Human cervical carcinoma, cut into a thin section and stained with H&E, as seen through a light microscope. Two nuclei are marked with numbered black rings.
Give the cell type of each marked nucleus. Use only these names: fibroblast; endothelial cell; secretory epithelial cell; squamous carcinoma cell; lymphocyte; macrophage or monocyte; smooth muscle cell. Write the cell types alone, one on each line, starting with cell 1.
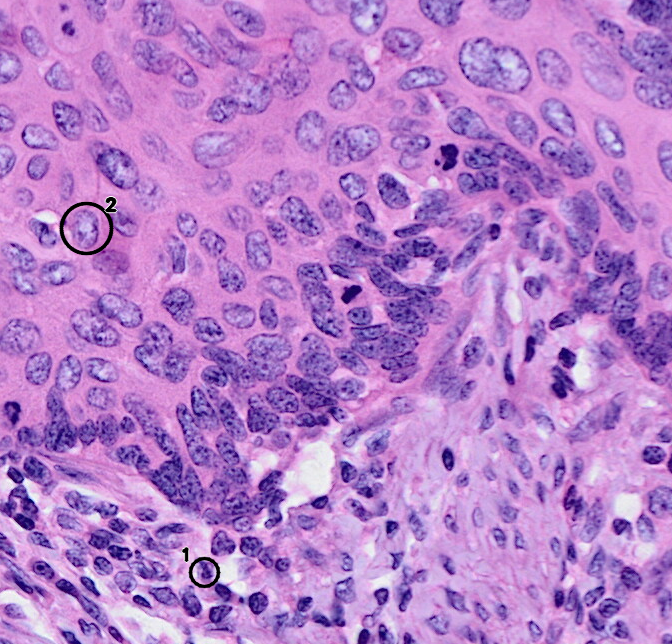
lymphocyte
squamous carcinoma cell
